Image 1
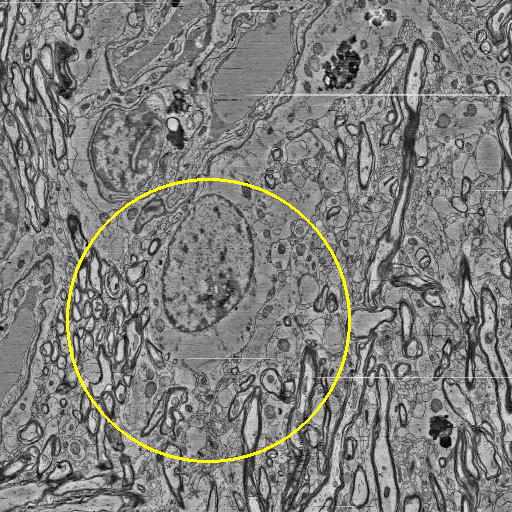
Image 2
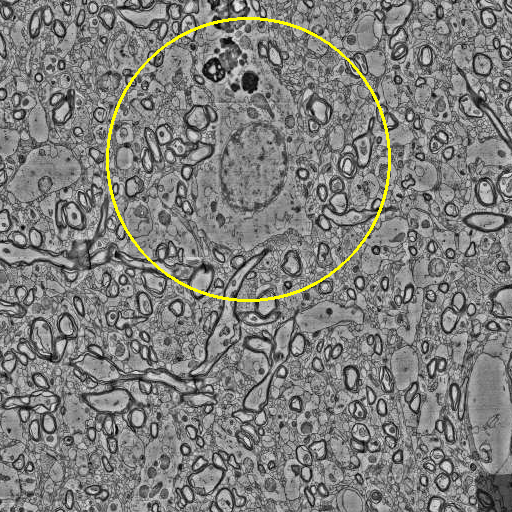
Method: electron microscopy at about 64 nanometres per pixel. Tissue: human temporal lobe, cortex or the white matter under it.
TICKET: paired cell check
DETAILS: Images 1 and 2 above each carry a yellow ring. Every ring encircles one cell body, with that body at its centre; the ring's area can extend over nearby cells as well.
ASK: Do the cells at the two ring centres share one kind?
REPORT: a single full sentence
Yes, the ring-centre cells of Images 1 and 2 belong to a single kind.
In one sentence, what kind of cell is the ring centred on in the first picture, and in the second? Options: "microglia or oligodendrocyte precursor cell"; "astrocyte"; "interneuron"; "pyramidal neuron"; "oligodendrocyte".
The second cell is an astrocyte, just as the first is.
